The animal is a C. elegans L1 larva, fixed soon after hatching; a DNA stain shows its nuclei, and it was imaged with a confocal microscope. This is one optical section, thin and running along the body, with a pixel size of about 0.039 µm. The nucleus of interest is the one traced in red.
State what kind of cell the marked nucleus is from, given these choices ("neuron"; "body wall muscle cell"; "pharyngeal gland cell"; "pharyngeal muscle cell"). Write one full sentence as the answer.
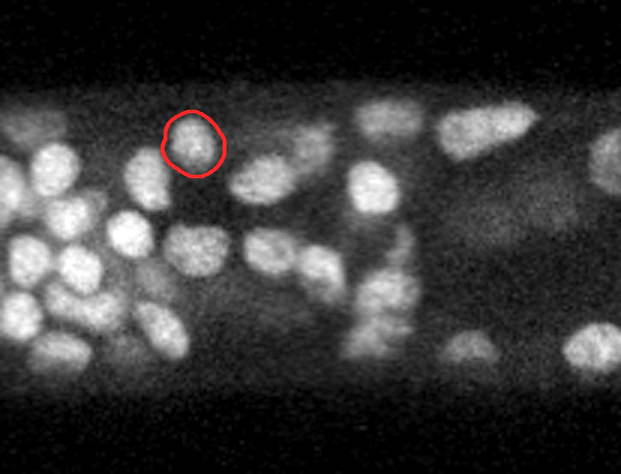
The cell with the marked nucleus is a neuron.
